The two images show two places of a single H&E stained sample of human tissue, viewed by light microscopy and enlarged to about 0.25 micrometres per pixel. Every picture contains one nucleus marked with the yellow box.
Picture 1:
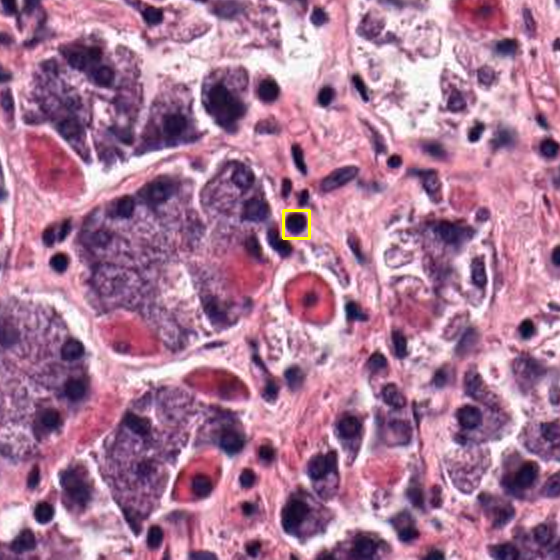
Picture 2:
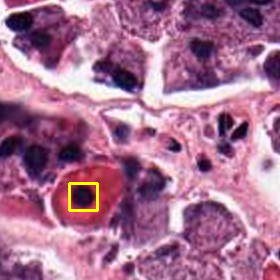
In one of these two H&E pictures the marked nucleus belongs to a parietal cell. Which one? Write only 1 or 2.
2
